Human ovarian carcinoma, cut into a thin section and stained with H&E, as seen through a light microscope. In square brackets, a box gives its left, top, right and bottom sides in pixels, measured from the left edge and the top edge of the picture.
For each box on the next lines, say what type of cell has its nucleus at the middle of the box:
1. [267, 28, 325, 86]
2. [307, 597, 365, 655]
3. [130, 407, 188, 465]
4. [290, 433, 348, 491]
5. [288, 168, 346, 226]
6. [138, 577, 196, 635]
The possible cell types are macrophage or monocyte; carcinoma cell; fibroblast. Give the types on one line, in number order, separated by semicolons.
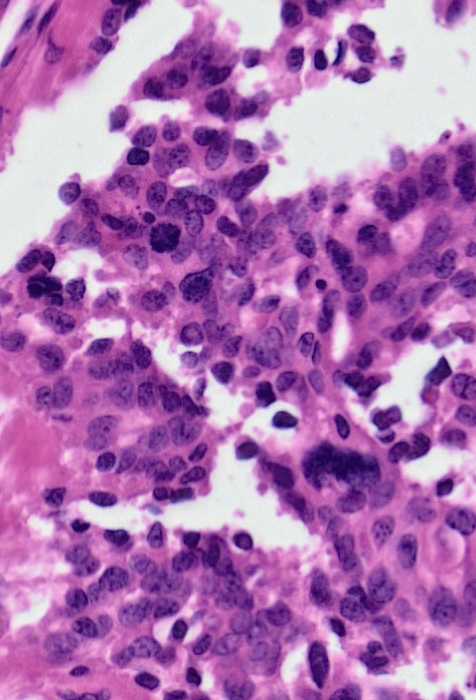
macrophage or monocyte; carcinoma cell; carcinoma cell; carcinoma cell; macrophage or monocyte; carcinoma cell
